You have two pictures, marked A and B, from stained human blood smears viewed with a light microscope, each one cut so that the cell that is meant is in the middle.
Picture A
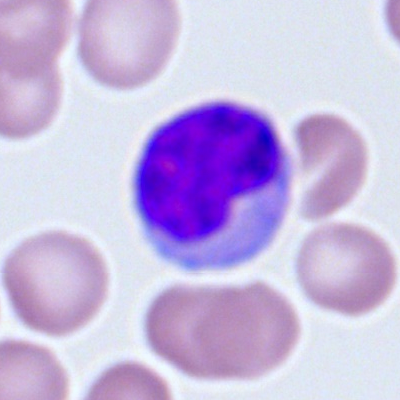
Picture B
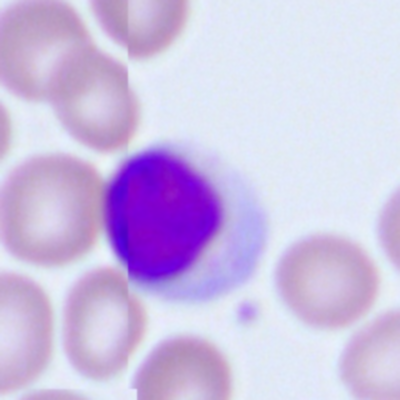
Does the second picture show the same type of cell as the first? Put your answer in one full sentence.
Yes; the cells in both pictures are lymphocytes.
